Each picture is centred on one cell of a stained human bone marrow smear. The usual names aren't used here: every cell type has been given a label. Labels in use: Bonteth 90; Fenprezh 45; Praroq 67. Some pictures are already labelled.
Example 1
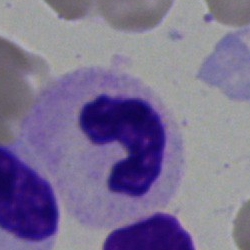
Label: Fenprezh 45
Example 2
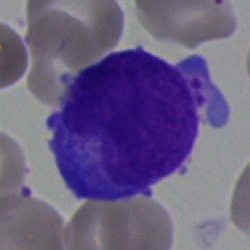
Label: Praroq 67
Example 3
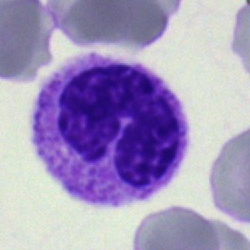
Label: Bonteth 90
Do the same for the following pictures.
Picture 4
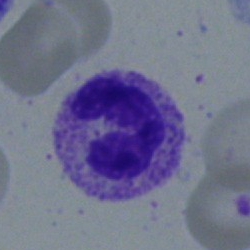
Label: Bonteth 90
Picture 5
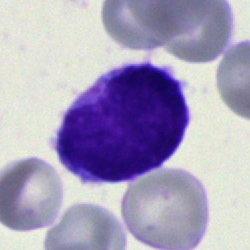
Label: Praroq 67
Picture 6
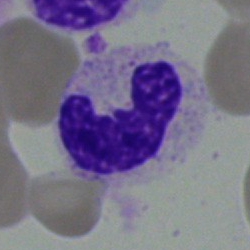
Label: Bonteth 90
